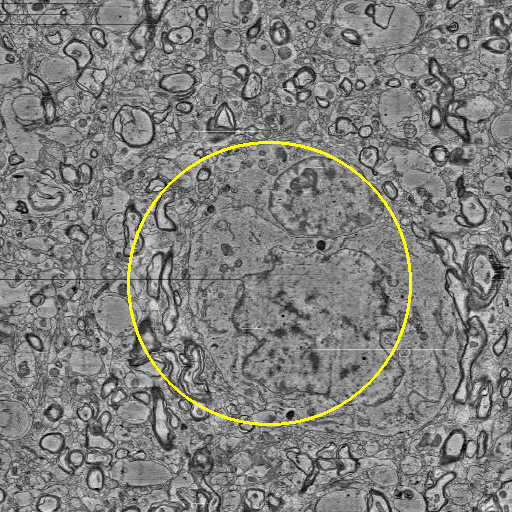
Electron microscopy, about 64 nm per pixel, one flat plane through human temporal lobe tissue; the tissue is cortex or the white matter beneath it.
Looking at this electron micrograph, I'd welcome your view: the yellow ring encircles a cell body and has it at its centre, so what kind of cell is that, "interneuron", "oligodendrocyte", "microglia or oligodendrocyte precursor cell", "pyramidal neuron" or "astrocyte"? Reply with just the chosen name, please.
interneuron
